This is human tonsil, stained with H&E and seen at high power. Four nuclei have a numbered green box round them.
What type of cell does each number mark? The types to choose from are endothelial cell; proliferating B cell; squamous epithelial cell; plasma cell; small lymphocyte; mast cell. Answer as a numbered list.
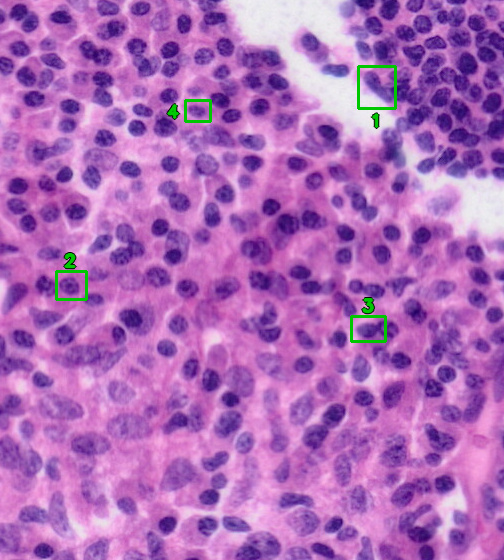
1. small lymphocyte
2. plasma cell
3. plasma cell
4. plasma cell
